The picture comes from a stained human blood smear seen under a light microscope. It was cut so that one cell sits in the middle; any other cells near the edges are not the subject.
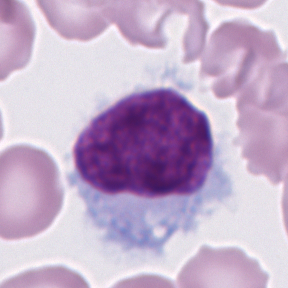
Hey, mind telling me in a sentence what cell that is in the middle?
Seen at the centre of the crop is a hairy cell.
